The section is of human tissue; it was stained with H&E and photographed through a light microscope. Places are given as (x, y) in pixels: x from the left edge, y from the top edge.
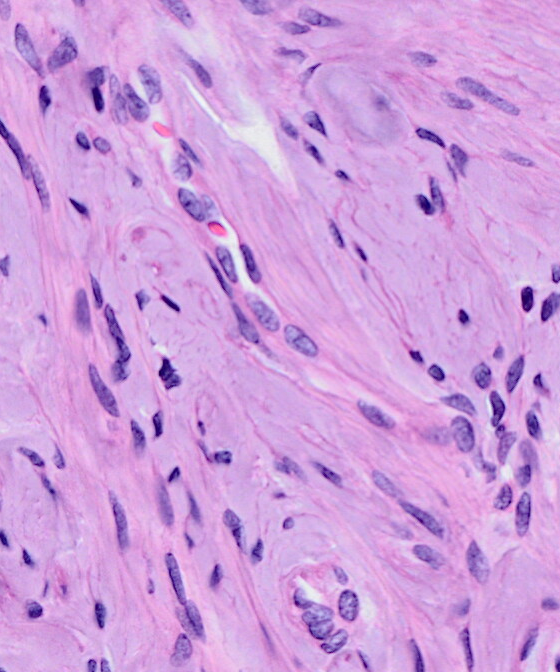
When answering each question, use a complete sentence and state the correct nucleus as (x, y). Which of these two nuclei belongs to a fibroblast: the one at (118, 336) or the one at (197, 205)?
Heads up, the nucleus at (118, 336) is the one that belongs to a fibroblast.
